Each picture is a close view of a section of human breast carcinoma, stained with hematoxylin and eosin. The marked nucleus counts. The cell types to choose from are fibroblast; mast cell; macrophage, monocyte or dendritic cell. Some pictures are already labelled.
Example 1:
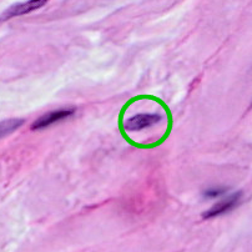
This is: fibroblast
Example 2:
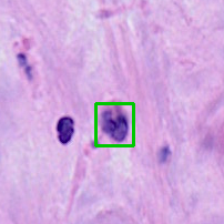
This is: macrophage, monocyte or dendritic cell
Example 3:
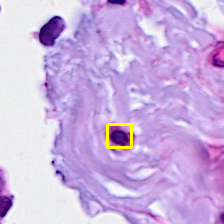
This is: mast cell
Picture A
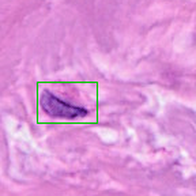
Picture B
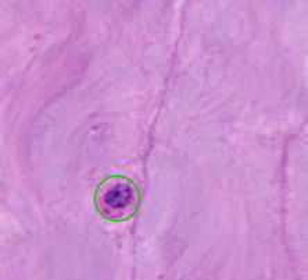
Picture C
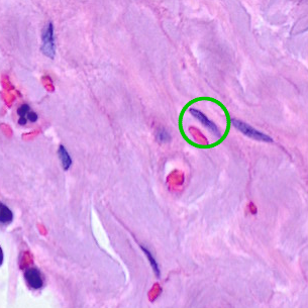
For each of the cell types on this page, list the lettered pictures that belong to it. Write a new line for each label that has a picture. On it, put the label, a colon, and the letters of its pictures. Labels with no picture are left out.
fibroblast: A, C
mast cell: B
